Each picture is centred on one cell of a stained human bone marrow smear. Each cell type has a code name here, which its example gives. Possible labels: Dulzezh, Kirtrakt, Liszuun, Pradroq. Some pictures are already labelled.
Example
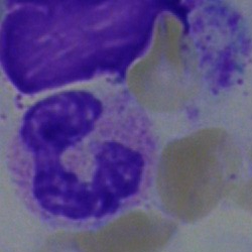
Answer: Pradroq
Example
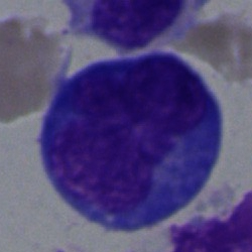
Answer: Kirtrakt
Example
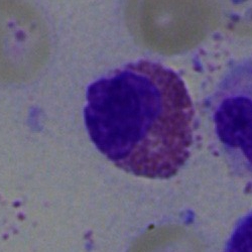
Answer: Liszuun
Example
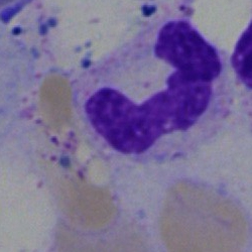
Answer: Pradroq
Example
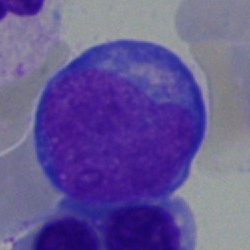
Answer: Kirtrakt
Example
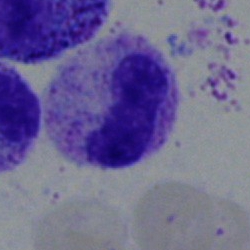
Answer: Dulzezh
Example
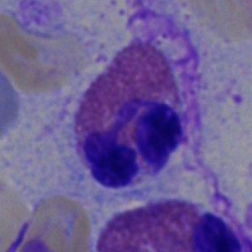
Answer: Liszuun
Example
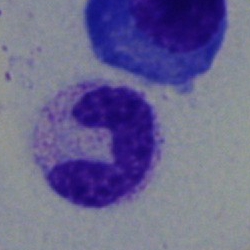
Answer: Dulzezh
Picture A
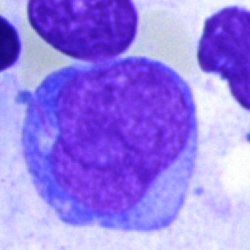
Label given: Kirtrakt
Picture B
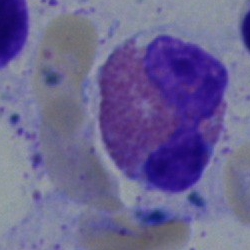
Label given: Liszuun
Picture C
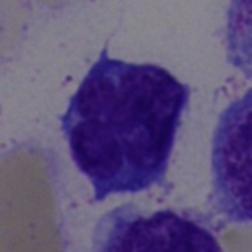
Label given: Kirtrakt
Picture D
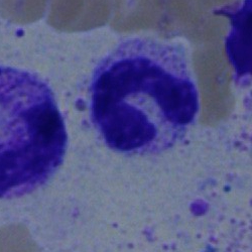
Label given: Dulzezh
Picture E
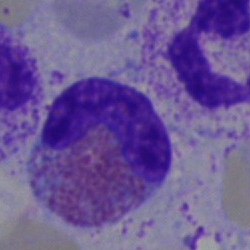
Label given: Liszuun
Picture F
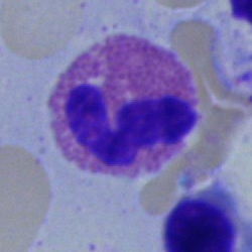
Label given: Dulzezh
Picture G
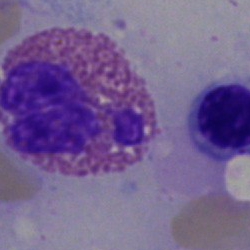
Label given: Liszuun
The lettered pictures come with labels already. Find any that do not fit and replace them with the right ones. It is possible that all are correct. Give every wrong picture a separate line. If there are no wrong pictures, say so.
F should be Liszuun, not Dulzezh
